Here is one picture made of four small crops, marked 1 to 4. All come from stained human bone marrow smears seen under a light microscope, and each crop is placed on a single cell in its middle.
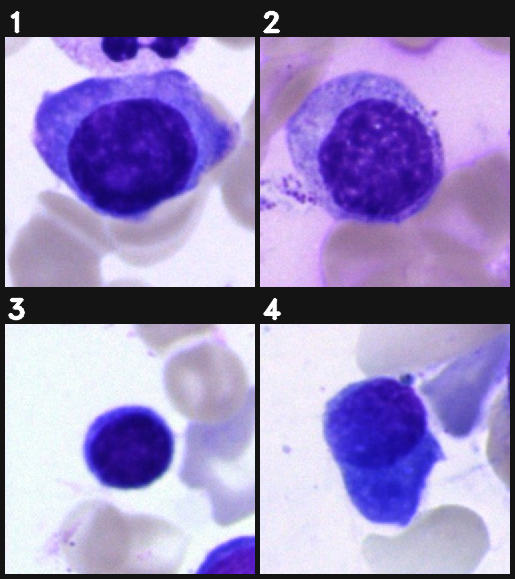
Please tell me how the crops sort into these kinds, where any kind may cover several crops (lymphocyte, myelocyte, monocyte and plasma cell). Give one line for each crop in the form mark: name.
1: plasma cell
2: myelocyte
3: lymphocyte
4: plasma cell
